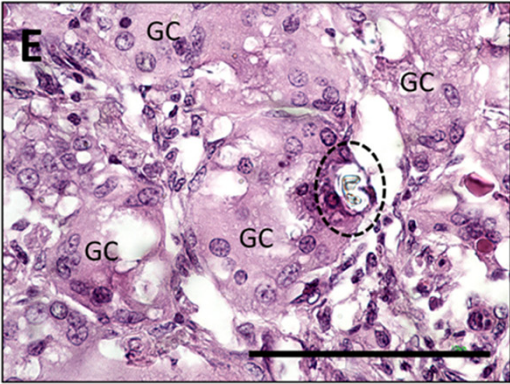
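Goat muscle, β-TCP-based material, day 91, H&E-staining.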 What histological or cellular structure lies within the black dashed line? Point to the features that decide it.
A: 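The dashed oval encloses a small refractile, pale-grey to purple fragment with a curled shape. The fragment lies within the pink cytoplasm of a large cell with several nuclei.
Hence: Fragments of the bone substitute.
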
